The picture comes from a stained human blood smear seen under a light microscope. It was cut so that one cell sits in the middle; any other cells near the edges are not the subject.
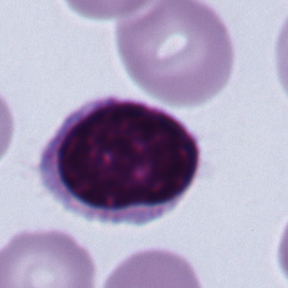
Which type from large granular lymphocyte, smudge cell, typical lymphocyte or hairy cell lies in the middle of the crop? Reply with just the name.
large granular lymphocyte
